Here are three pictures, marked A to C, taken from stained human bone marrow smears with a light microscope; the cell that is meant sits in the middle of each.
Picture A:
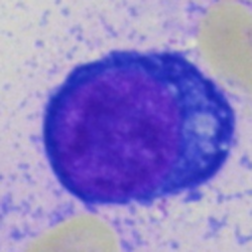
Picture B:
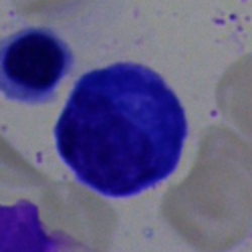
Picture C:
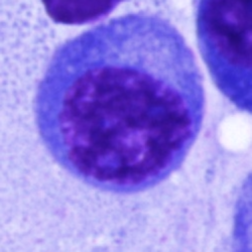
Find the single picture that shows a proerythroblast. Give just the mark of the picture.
A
